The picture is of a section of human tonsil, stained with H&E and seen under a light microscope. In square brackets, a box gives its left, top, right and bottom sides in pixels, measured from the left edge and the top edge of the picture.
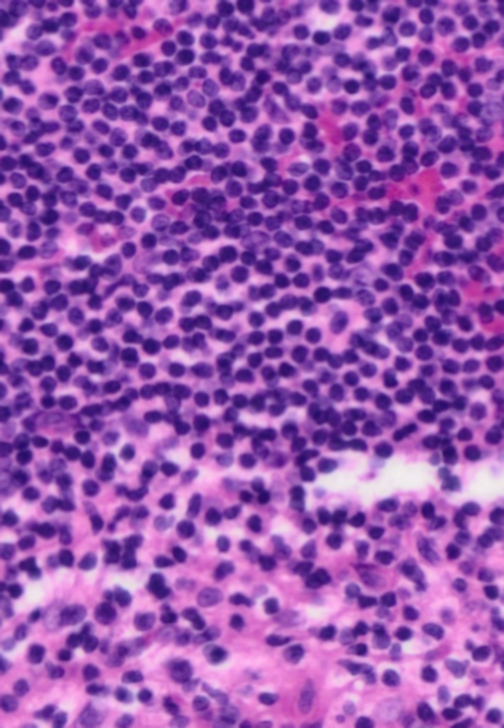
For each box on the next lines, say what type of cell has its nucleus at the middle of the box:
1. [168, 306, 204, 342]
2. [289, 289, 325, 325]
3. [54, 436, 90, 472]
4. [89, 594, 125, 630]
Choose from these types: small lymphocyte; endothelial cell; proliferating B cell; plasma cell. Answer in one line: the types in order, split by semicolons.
small lymphocyte; small lymphocyte; small lymphocyte; proliferating B cell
